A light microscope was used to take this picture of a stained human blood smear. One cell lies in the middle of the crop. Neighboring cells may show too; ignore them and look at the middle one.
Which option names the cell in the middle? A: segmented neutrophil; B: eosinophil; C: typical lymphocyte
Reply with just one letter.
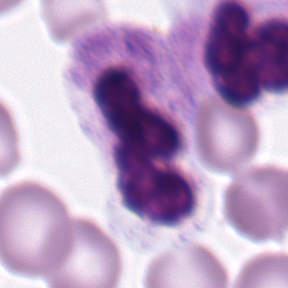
A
